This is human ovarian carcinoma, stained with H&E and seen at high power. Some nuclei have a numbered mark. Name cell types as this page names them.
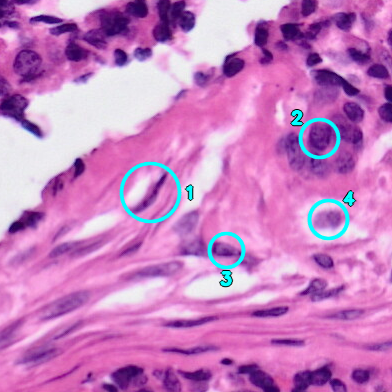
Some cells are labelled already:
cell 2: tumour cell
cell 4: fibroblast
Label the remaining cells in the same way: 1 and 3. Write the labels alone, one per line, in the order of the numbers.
fibroblast
fibroblast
